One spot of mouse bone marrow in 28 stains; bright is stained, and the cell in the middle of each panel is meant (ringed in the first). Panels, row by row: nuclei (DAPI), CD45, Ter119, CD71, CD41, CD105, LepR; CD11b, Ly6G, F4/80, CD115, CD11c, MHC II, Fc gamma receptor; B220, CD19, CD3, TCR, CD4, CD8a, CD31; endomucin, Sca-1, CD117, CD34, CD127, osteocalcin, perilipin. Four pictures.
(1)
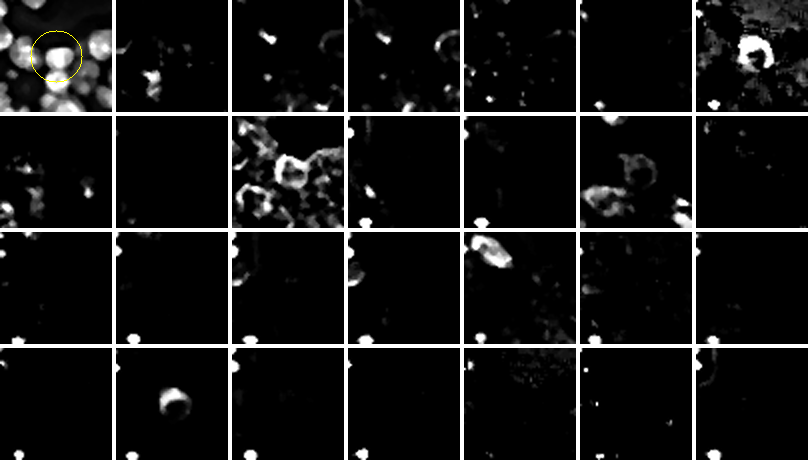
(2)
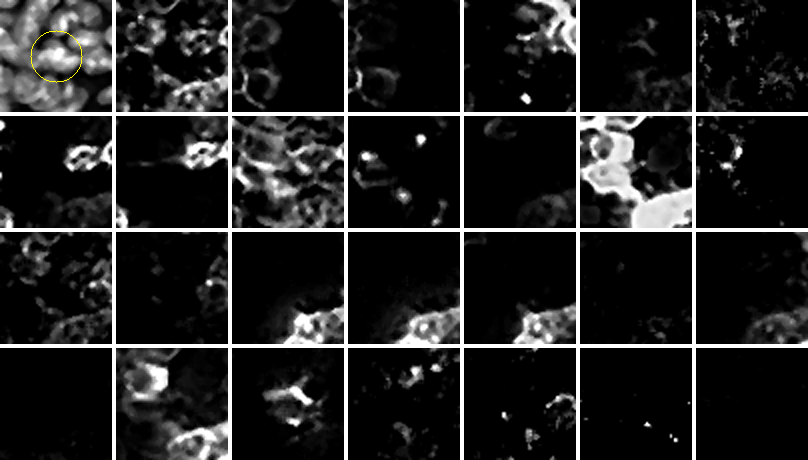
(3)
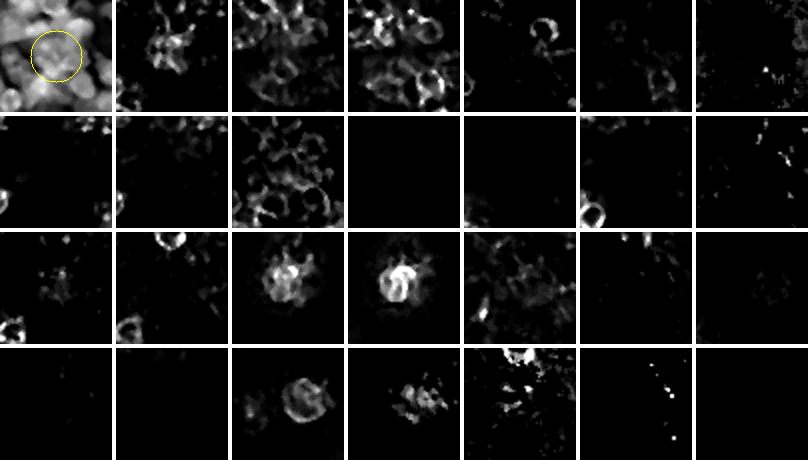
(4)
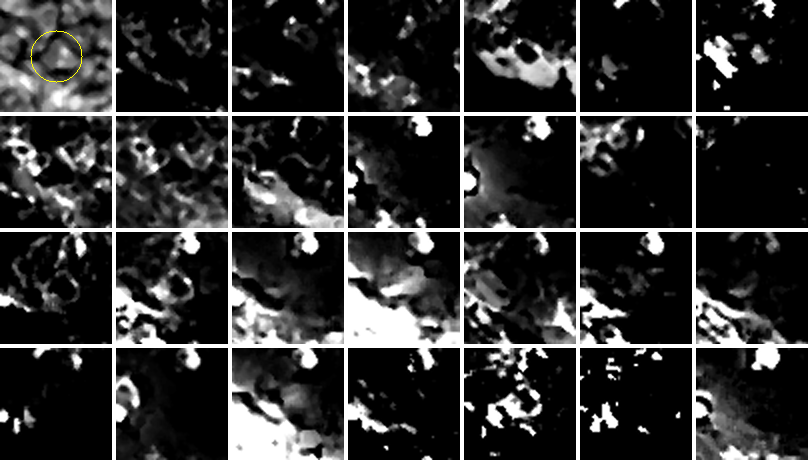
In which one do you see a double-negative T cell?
In picture 3.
